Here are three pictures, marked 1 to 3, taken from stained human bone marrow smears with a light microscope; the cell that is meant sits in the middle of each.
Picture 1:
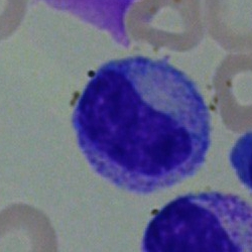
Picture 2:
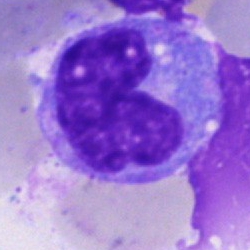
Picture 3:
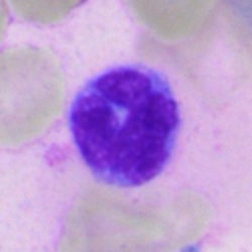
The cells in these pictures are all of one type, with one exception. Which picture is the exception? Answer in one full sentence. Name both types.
Unlike the rest, which show monocytes, picture 1 shows a metamyelocyte.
